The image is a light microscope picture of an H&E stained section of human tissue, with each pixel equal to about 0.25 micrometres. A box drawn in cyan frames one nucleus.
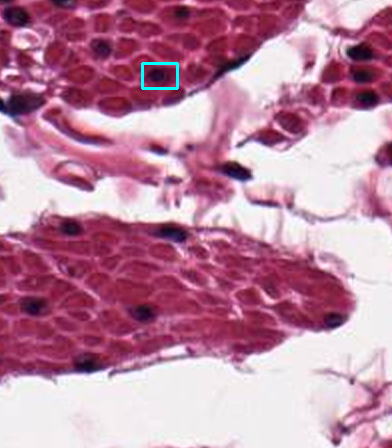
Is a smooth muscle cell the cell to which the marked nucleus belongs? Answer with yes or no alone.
yes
